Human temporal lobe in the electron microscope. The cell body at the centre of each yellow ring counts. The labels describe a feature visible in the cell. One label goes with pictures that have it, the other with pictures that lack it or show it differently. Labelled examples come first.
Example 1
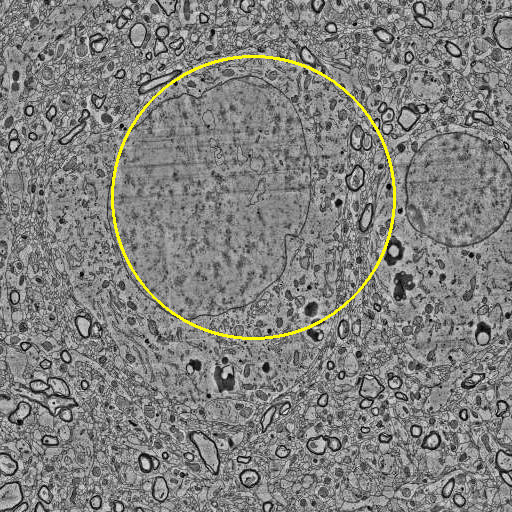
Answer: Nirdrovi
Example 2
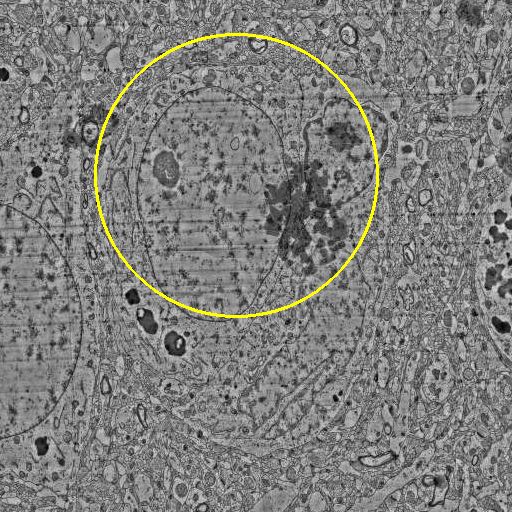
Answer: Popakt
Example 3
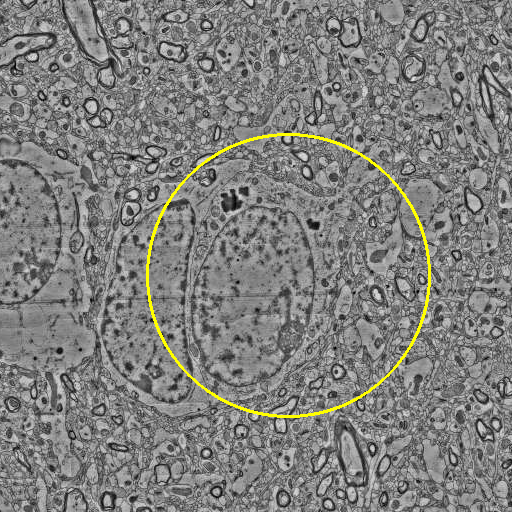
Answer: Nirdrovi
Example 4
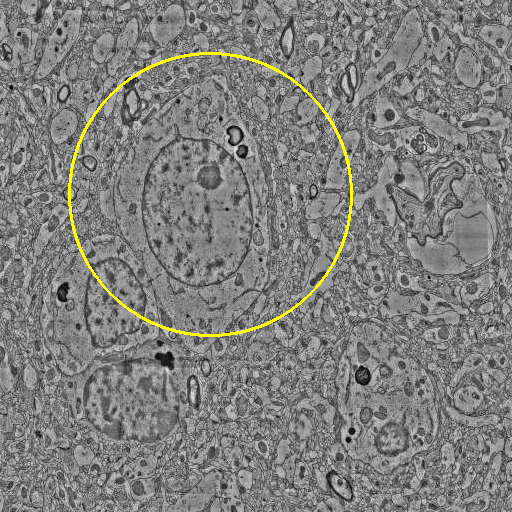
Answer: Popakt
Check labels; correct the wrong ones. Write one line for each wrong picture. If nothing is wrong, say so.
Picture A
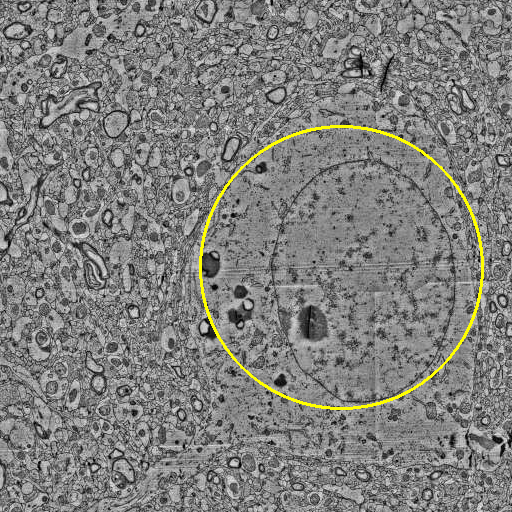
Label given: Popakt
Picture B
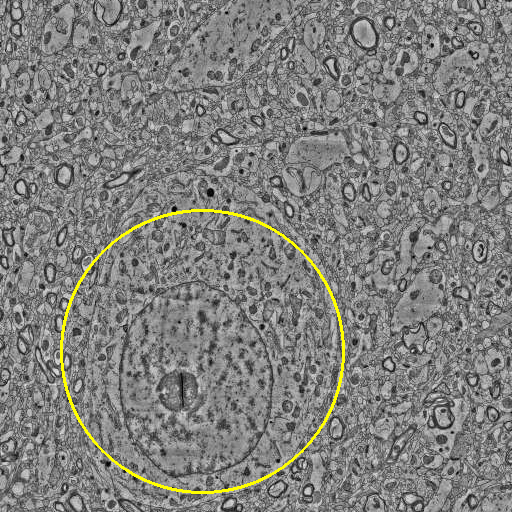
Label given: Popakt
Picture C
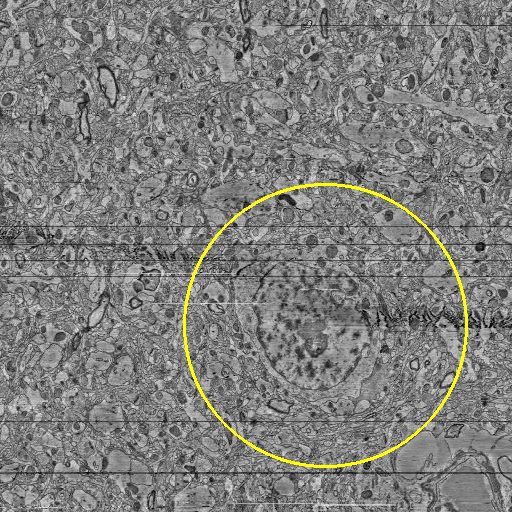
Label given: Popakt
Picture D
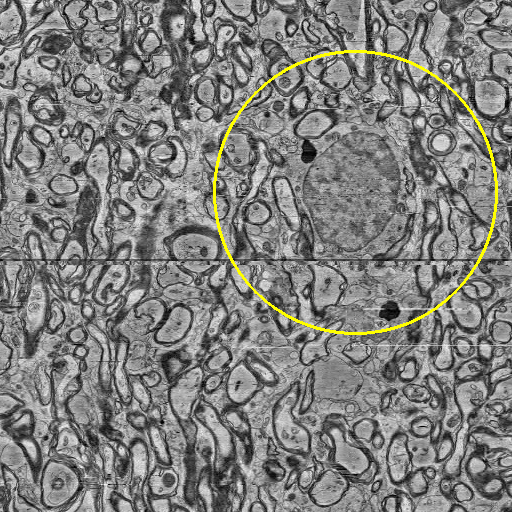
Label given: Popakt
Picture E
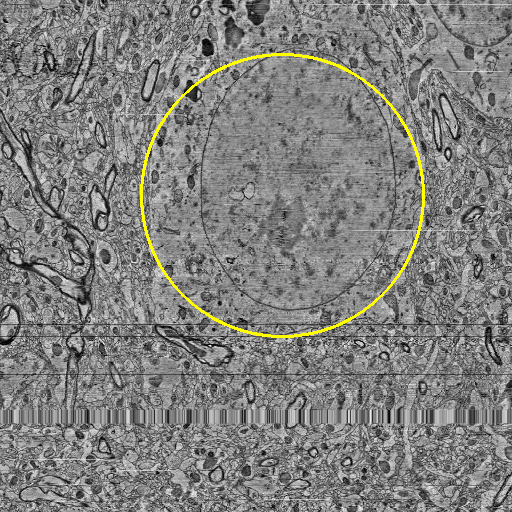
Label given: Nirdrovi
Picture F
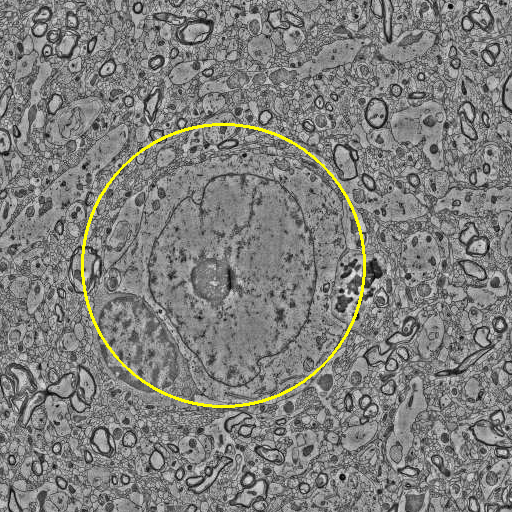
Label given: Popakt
Wrong: D (Popakt); correct: Nirdrovi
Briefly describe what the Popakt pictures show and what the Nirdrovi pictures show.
Popakt: nucleolus seen; Nirdrovi: no nucleolus seen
